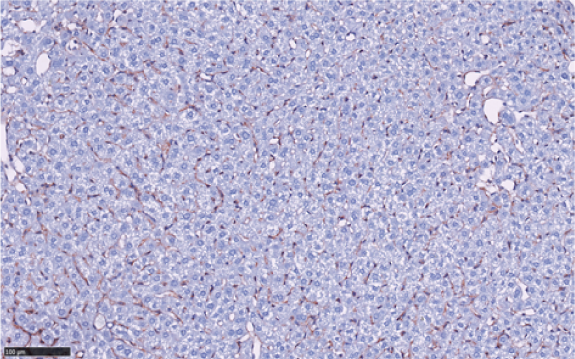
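This is liver tissue made up of large polygonal hepatocytes with round blue nuclei, packed in cords. Between the cords runs a fine brown network that outlines the narrow sinusoidal spaces throughout the field. Several small round vessel lumens appear as clear holes within the tissue.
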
